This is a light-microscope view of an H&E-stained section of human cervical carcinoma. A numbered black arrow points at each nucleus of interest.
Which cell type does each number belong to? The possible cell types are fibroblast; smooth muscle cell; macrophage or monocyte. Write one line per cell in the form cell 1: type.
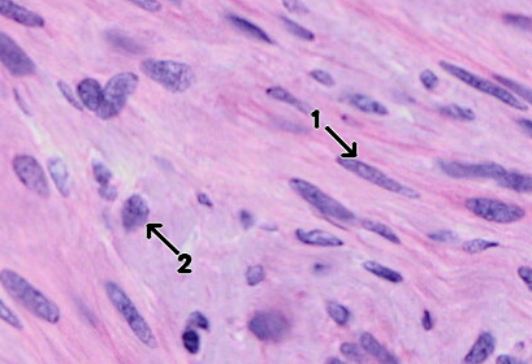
cell 1: smooth muscle cell
cell 2: fibroblast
